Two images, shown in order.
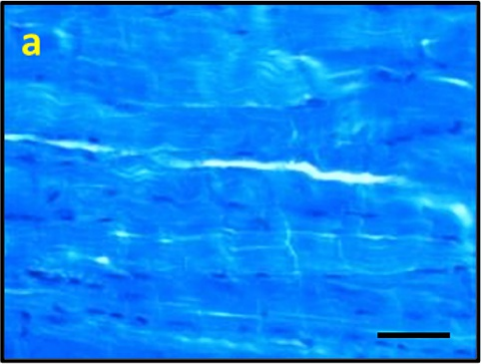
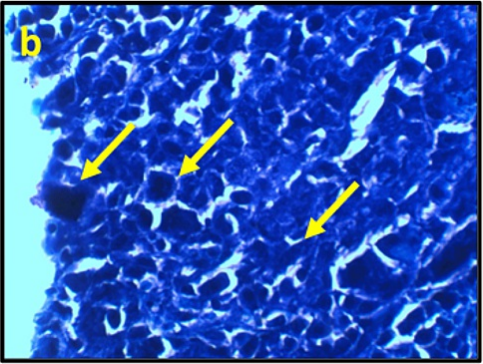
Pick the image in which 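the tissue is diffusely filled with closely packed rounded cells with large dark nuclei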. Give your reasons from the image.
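Second image: the field is crowded with rounded dark-staining cells and no fiber pattern. First image: orderly parallel fibers with sparse elongated nuclei. So: the second image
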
